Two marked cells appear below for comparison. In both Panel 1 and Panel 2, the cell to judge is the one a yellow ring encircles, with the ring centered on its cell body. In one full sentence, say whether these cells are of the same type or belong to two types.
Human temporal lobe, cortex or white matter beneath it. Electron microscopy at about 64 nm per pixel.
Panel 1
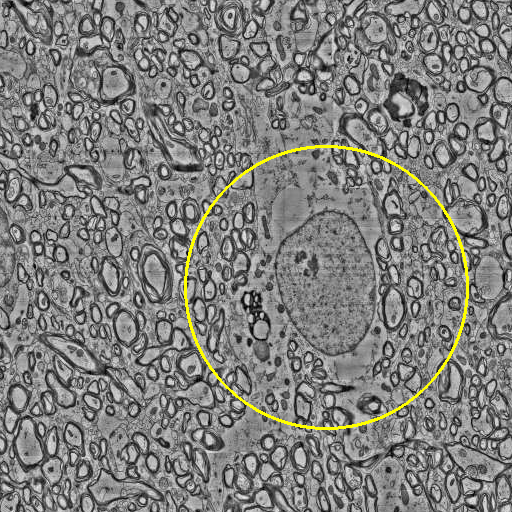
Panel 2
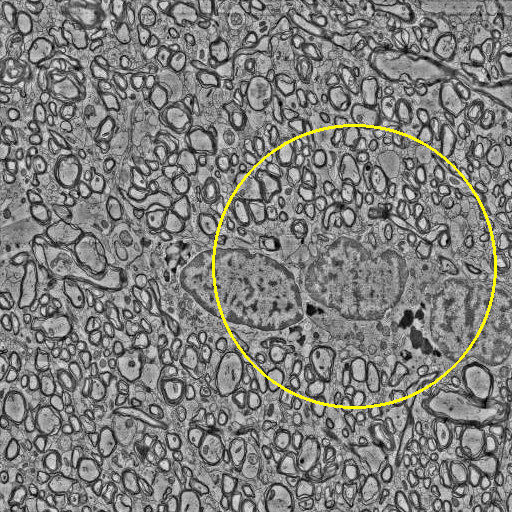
The cell centered in the Panel 1 ring and the one in Panel 2 belong to two types.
